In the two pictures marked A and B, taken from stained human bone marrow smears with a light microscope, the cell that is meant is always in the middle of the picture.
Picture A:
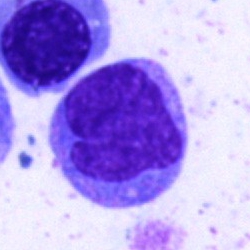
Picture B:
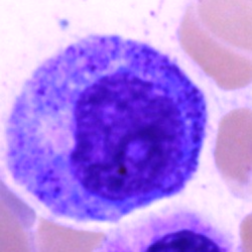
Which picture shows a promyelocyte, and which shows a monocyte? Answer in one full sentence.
Picture B shows a promyelocyte, while picture A shows a monocyte.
